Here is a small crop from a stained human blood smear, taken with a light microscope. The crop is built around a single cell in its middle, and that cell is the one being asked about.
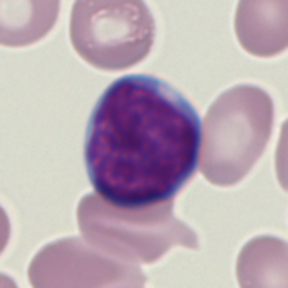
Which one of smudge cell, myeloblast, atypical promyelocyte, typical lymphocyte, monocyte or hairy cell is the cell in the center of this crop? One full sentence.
The middle of this crop is occupied by a typical lymphocyte.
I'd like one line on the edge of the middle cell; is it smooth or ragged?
From every side, the cell boundary is smooth and free of projections.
